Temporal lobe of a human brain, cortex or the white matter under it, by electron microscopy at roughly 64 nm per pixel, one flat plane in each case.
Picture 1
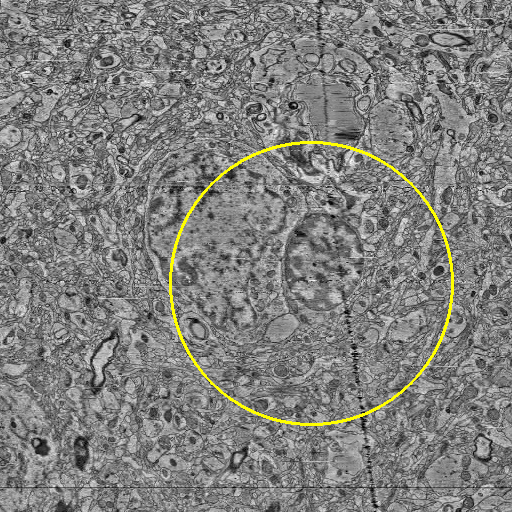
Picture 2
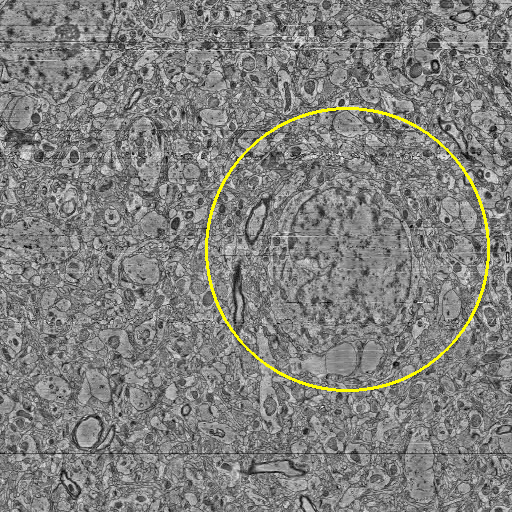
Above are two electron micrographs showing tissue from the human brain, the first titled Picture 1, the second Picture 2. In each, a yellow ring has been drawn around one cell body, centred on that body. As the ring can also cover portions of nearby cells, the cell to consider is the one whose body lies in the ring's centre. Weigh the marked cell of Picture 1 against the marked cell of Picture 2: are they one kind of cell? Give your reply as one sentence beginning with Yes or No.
No, the two cells sitting at the ring centres in the pictures are of two kinds.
